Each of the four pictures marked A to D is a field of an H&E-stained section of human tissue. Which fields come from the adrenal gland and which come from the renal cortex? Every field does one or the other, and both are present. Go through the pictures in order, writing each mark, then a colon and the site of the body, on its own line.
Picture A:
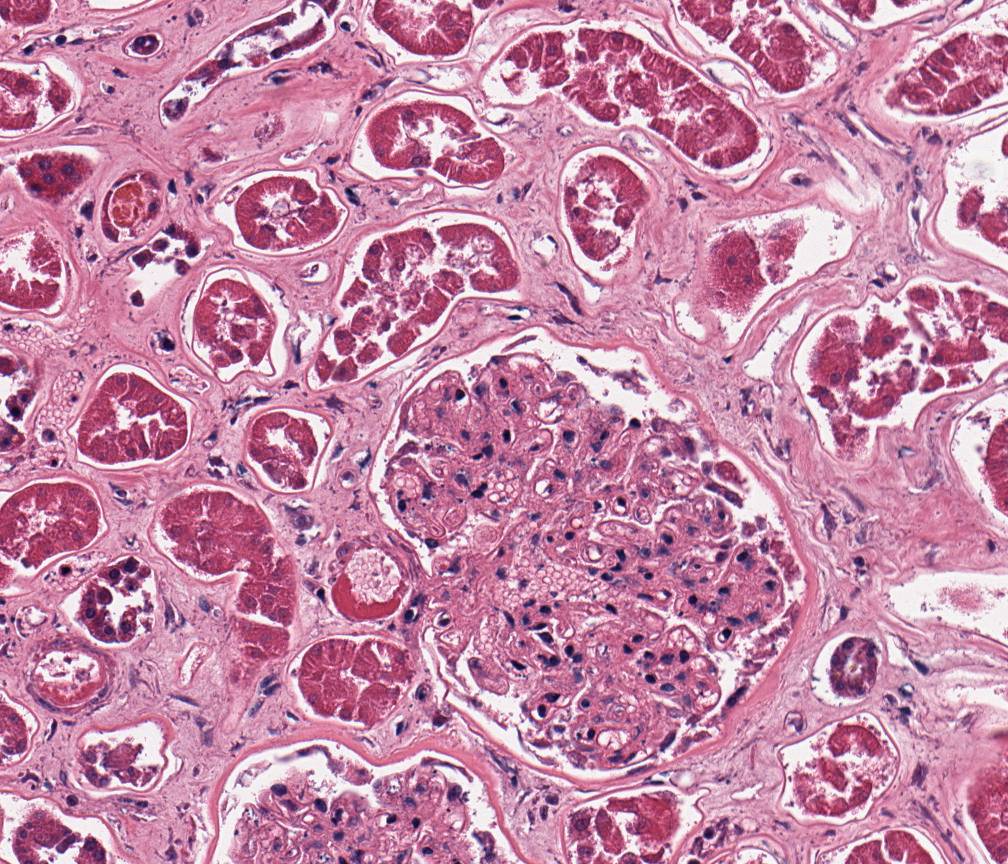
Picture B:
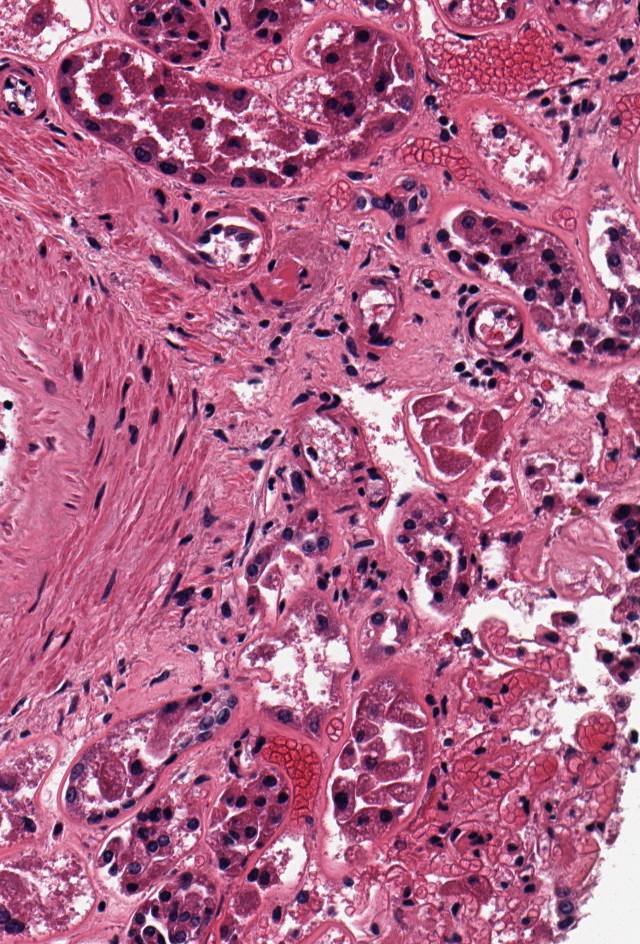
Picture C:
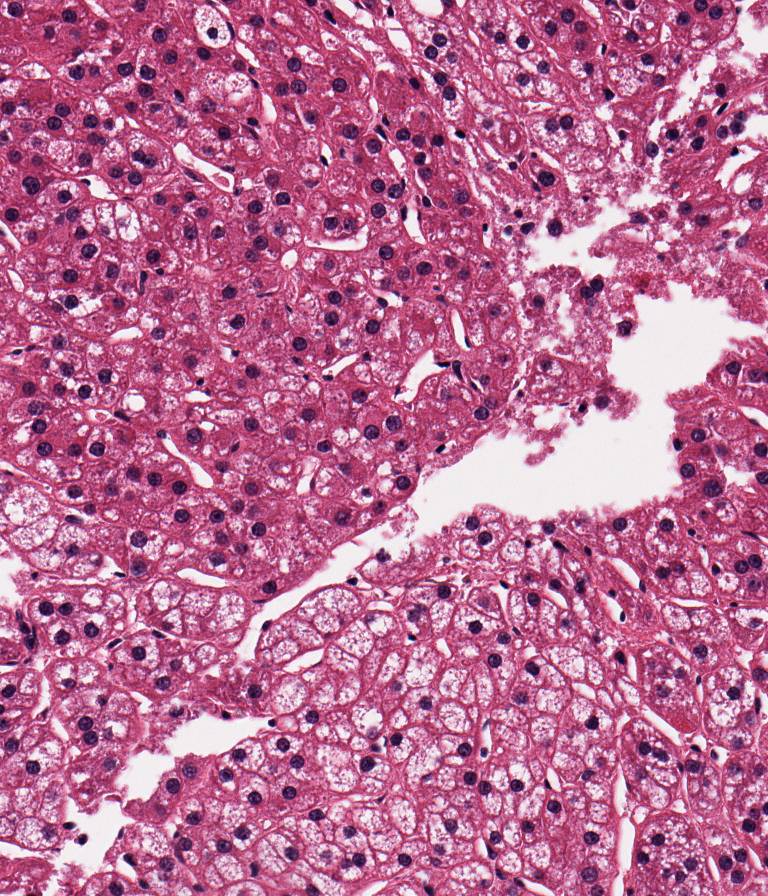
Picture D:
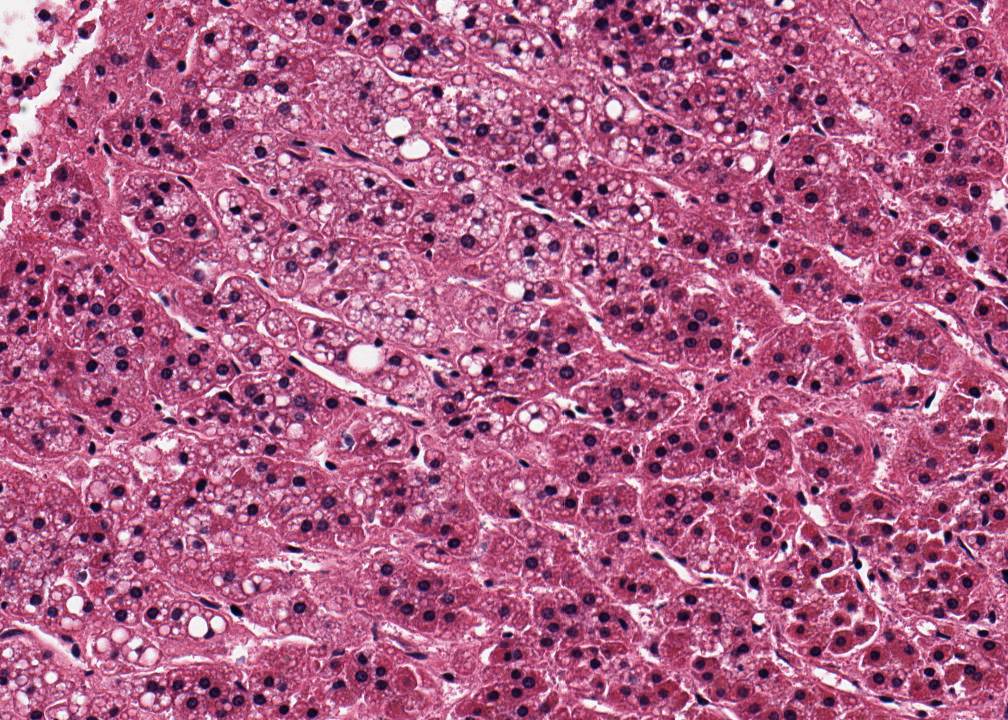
A: renal cortex
B: renal cortex
C: adrenal gland
D: adrenal gland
